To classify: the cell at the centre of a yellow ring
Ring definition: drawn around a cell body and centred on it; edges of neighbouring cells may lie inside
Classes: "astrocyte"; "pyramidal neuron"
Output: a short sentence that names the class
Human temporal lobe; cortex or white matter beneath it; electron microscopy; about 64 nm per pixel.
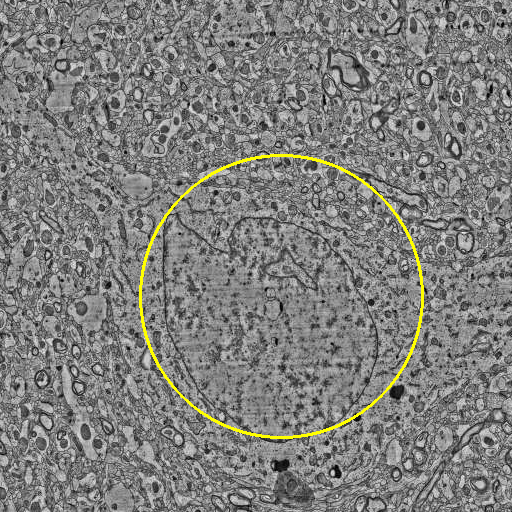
The ringed cell is a pyramidal neuron.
